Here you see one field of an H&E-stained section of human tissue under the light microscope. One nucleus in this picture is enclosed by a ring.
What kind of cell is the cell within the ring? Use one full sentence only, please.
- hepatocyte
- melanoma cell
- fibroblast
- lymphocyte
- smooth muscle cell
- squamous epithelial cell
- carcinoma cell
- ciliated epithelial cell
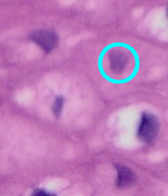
Just put down that the cell within the ring is a squamous epithelial cell.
